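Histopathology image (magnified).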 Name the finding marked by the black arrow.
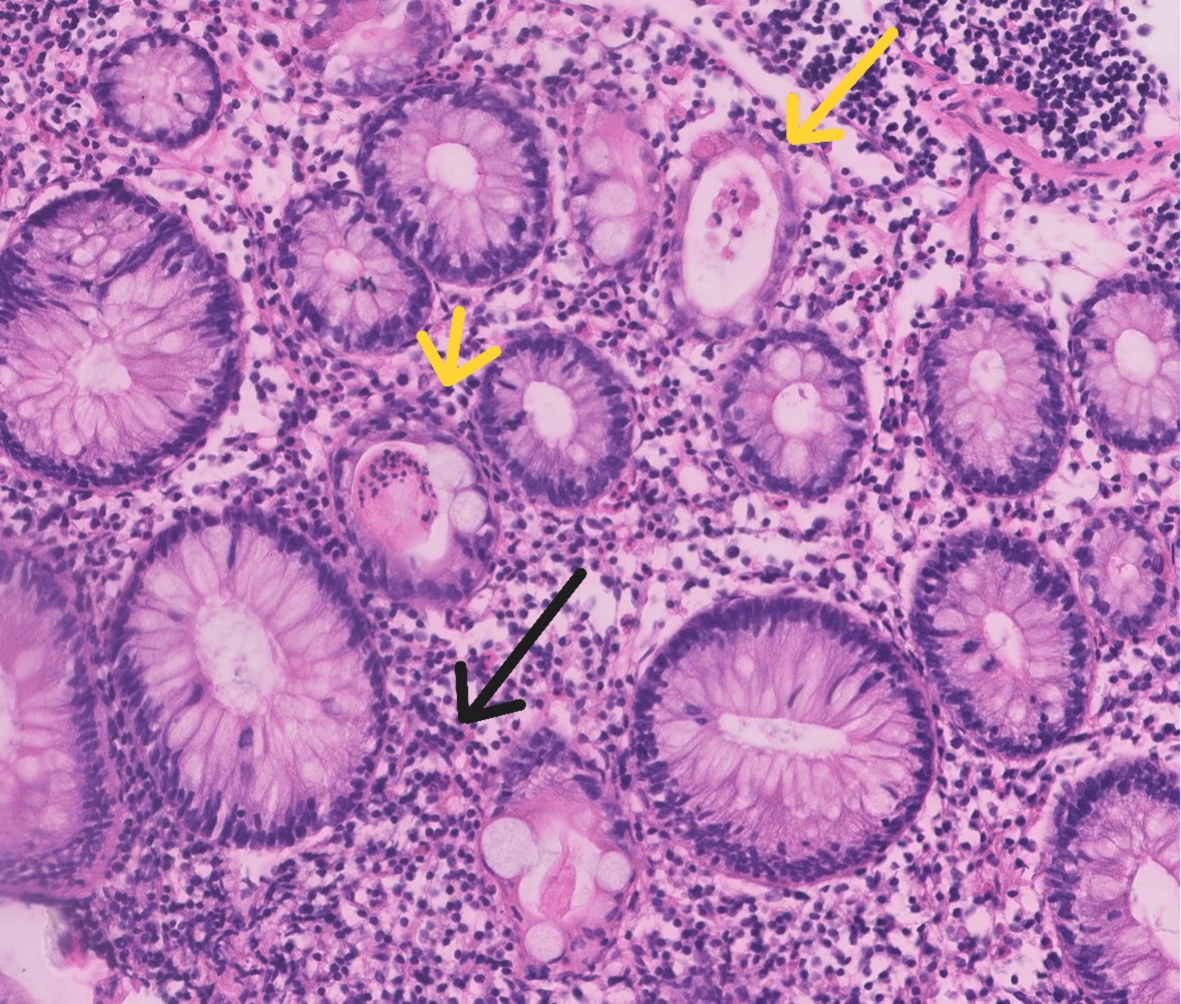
Inflammatory infiltrate.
